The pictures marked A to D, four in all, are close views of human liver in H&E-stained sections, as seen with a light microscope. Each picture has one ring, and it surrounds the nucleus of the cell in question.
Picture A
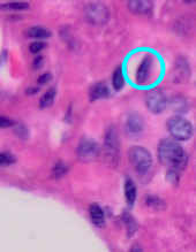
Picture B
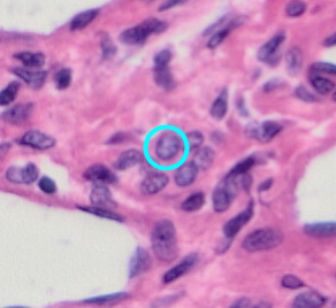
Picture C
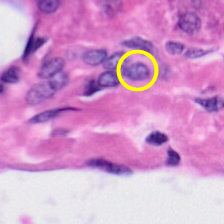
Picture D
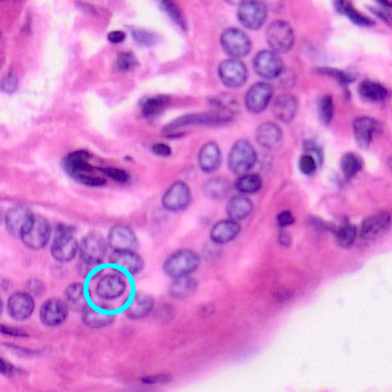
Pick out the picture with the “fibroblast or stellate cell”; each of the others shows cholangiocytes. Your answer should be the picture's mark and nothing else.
A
